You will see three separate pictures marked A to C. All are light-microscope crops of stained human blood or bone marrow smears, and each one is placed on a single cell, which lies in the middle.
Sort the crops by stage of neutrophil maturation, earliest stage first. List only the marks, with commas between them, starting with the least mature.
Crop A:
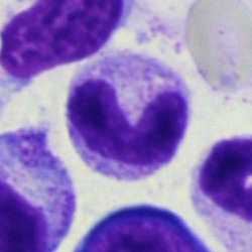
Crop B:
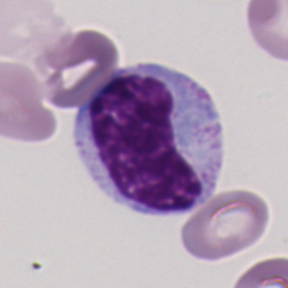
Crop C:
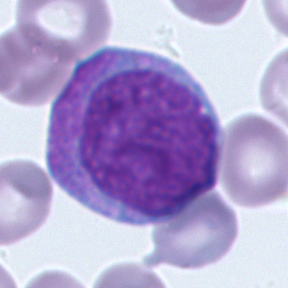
C, B, A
